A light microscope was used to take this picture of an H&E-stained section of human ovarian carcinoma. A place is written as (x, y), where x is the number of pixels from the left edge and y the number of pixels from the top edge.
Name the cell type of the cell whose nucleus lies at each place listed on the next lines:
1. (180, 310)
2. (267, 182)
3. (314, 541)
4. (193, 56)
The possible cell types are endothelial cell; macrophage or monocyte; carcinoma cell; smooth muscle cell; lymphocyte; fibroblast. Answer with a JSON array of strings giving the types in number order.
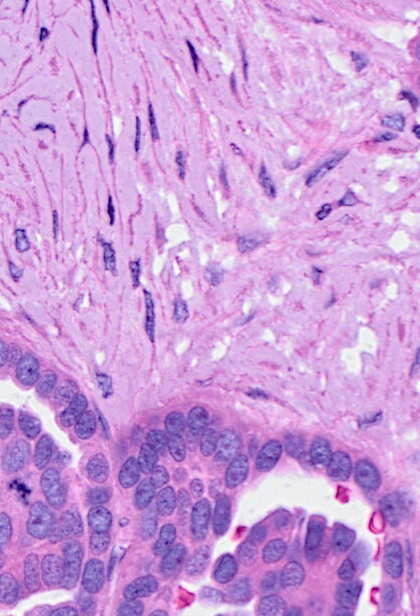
["fibroblast", "fibroblast", "carcinoma cell", "fibroblast"]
